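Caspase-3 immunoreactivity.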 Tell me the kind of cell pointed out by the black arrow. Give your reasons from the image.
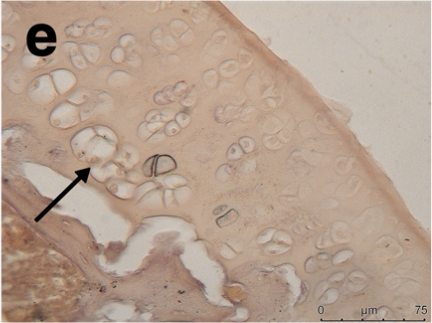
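Chondrocytes. The arrow points to a cluster of cells lying in lacunae.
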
